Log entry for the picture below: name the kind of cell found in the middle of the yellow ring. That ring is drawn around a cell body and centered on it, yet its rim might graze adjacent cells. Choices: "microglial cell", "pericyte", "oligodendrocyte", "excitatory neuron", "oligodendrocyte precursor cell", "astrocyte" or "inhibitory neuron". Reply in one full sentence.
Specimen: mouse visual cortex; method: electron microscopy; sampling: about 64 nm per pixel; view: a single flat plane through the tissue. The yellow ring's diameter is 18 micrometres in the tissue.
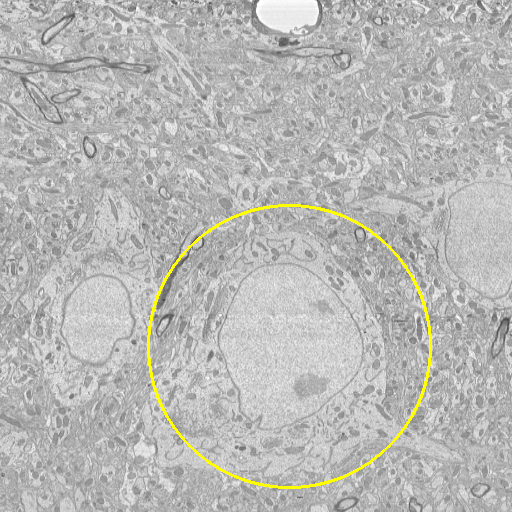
The cell in the middle of the yellow ring in this picture is an excitatory neuron.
